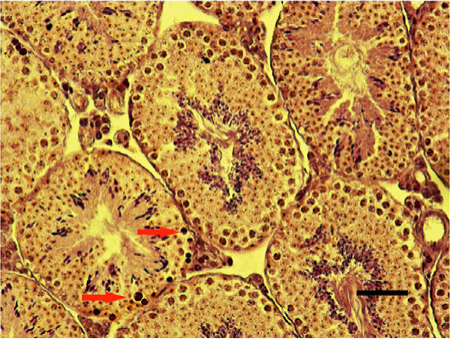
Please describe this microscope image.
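Cross-sections of seminiferous tubules of testis, each lined by layered germ cells around a lumen. Many round nuclei make up the tubule wall, and groups of dark elongated spermatid heads lie toward the lumen with pale tails in the centre. Several round cells with dark brown to black nuclei lie within the tubule walls, some near the outer margin. Pale interstitial spaces lie between the tubules.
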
